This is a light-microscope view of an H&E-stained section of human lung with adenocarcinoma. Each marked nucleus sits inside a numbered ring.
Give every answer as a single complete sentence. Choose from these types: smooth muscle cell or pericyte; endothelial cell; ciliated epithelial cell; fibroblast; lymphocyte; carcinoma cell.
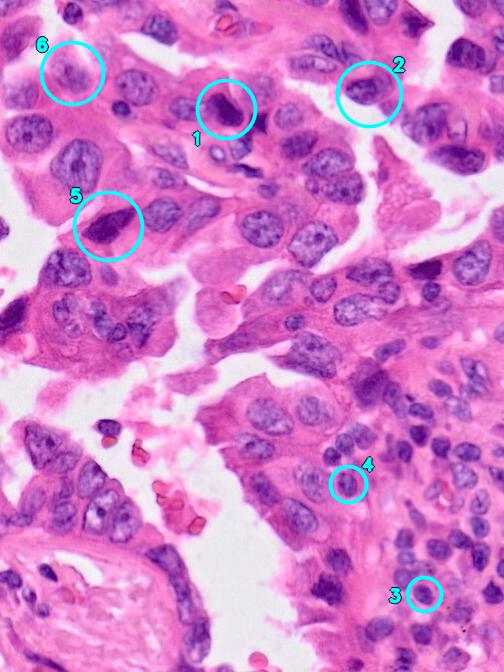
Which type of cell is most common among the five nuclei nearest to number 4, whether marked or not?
Around number 4, most of the five nearest nuclei are those of lymphocytes.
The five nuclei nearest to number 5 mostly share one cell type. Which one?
Around number 5, most of the five nearest nuclei are those of carcinoma cells.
